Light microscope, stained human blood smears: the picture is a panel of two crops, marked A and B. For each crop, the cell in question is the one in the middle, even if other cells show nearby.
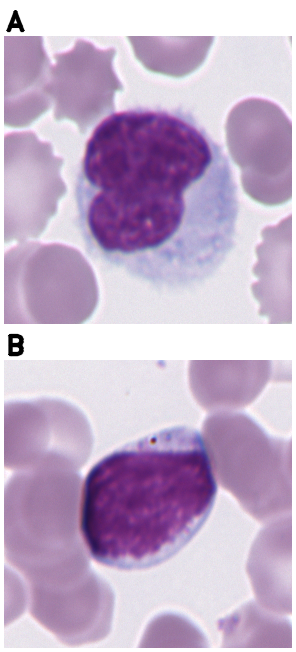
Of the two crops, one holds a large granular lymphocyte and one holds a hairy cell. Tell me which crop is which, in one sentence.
Crops A and B are, respectively, a hairy cell and a large granular lymphocyte.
